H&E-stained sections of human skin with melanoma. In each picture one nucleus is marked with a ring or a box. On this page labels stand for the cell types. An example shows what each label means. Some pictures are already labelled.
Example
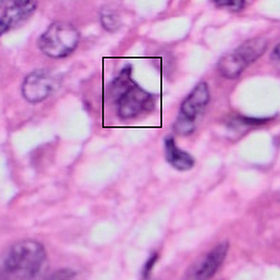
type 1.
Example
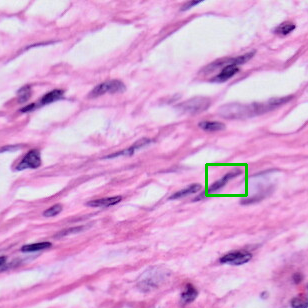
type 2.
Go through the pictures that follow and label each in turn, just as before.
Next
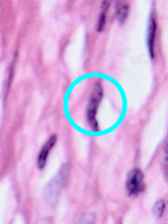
type 2.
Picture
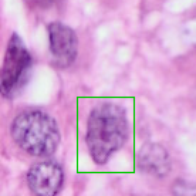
type 1.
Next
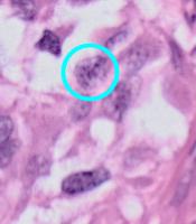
type 1.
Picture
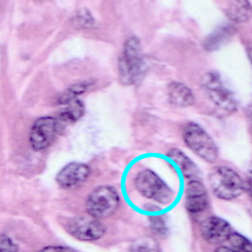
type 1.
